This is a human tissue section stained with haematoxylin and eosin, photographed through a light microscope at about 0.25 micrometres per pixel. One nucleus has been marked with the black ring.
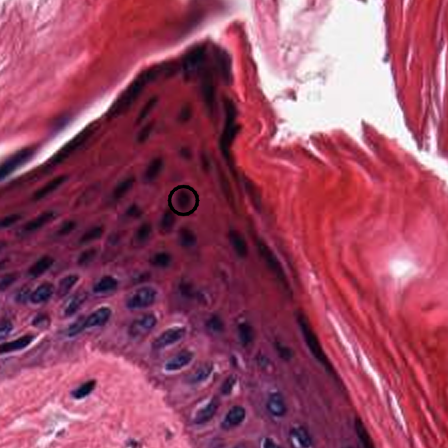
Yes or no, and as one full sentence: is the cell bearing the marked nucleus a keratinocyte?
Yes, the nucleus shown with the mark belongs to a keratinocyte.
